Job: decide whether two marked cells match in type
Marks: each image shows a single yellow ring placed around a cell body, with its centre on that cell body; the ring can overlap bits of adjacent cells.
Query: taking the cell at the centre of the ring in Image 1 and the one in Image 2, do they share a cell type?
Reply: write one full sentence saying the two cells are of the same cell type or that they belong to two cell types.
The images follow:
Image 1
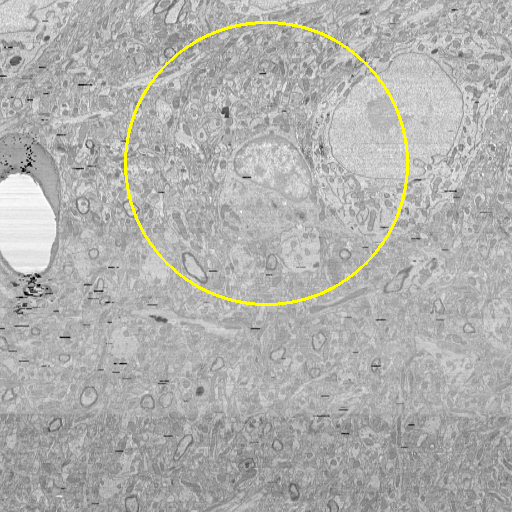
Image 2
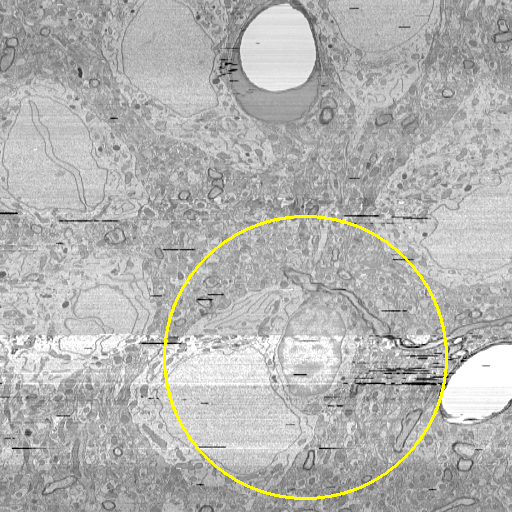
The cells at the ring centres in Image 1 and Image 2 are of the same cell type.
